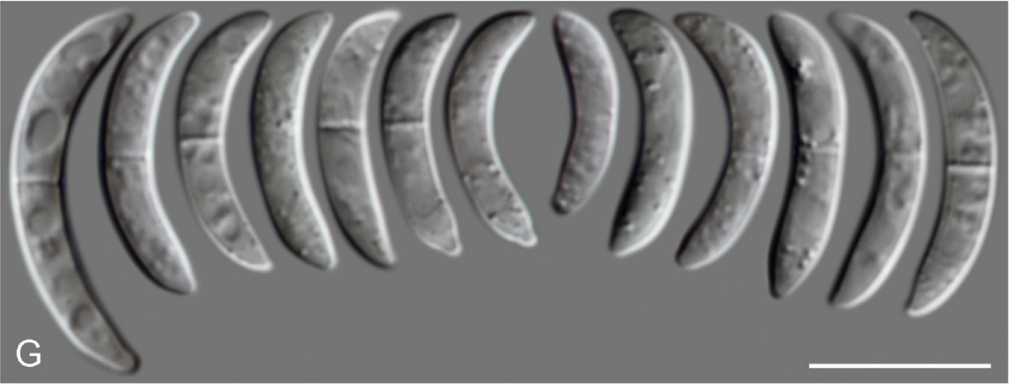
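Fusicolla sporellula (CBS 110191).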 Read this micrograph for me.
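A row of detached macroconidia of the fungus is laid out side by side. Each spore is long, slender and curved like a crescent or banana, with tapered, slightly pointed ends. Most spores carry one transverse cross wall near the middle, dividing them into two cells, while a few show no cross wall. The walls appear smooth and the cytoplasm contains scattered rounded droplets and granules. The spores vary somewhat in length and degree of curvature, one short one standing out among longer ones.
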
